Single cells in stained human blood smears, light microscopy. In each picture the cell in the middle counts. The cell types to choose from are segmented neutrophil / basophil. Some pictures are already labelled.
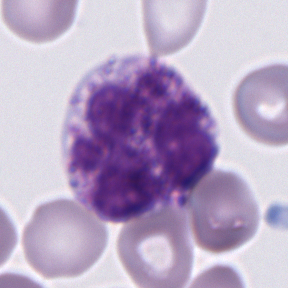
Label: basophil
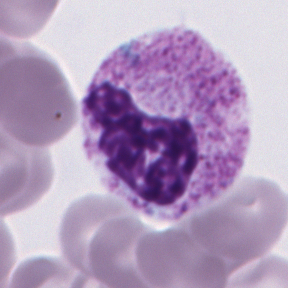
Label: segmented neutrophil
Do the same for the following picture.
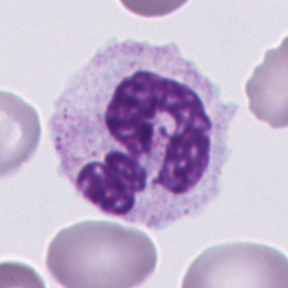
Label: segmented neutrophil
